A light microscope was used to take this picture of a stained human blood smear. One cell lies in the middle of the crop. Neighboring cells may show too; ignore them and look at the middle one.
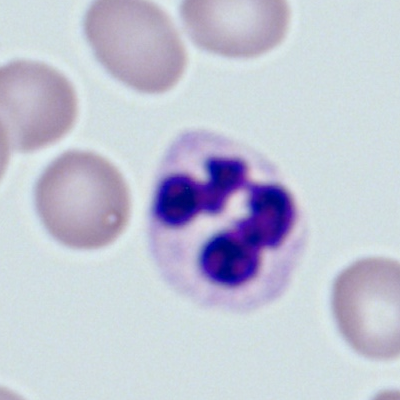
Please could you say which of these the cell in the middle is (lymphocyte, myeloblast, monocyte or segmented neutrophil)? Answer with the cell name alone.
segmented neutrophil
